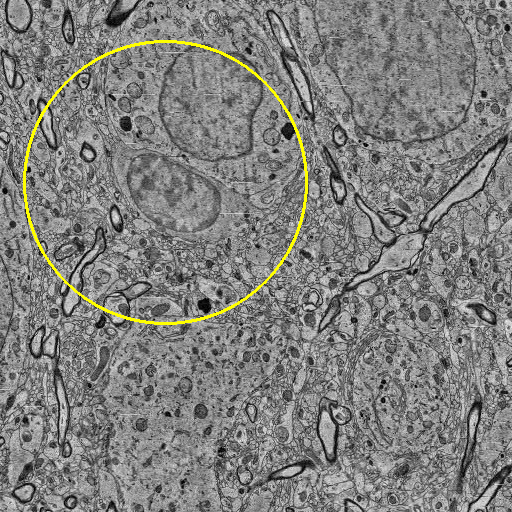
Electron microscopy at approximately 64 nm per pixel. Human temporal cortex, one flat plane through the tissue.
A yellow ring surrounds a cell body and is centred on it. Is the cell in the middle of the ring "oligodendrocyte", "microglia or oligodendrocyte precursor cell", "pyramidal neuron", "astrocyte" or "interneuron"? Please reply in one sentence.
The ring is centred on an oligodendrocyte.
